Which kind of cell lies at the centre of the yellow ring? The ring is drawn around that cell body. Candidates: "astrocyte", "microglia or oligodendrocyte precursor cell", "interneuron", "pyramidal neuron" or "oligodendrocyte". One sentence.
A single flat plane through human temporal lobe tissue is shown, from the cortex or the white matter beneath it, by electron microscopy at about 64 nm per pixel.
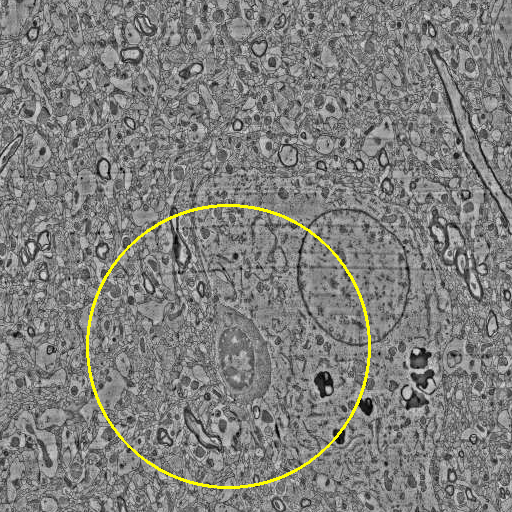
Lying at the centre of the ring is an oligodendrocyte.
